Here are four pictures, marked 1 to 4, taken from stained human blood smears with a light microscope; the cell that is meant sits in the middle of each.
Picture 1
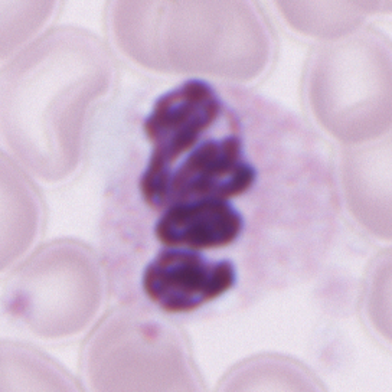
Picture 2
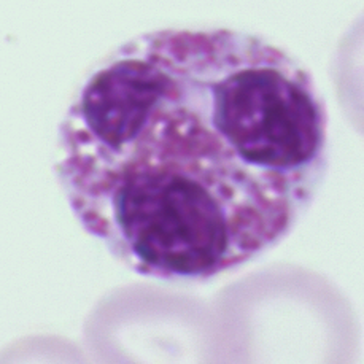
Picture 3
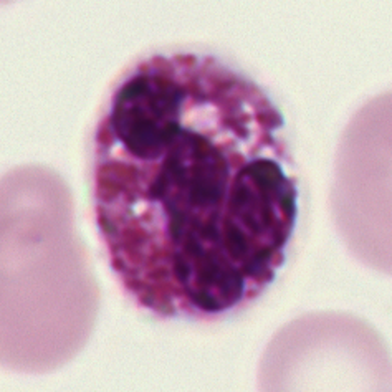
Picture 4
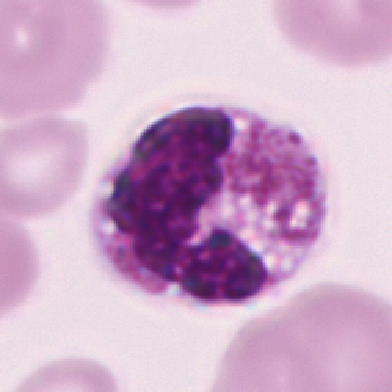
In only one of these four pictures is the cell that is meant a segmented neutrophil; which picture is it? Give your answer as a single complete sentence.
The cell in picture 1 is the segmented neutrophil.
